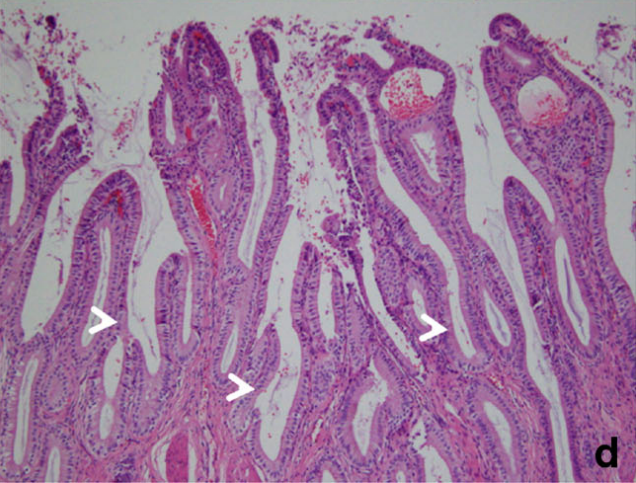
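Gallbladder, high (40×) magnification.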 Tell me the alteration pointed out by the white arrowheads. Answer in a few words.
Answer: epithelial infolding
